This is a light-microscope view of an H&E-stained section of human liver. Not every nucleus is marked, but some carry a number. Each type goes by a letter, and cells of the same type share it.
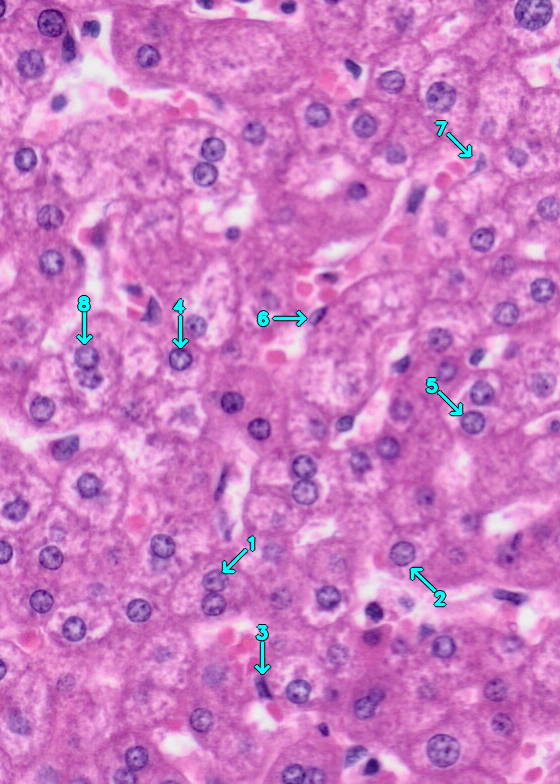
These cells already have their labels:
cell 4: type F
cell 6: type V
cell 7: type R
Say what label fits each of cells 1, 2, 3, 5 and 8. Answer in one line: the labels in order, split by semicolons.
type F; type F; type V; type F; type F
